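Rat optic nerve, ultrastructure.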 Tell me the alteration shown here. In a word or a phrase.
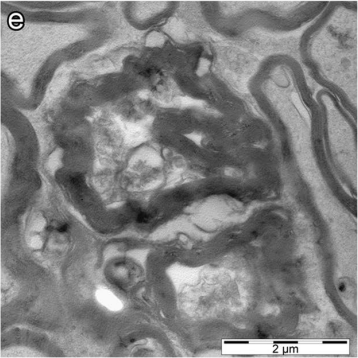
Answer: Necrotic fibres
